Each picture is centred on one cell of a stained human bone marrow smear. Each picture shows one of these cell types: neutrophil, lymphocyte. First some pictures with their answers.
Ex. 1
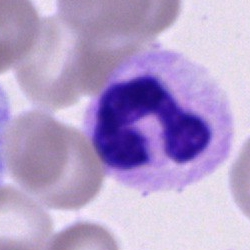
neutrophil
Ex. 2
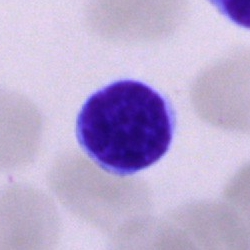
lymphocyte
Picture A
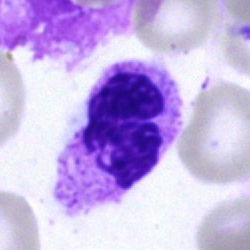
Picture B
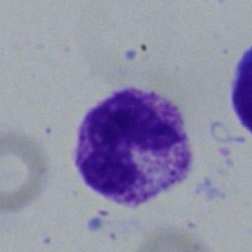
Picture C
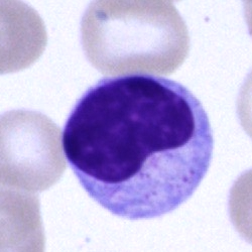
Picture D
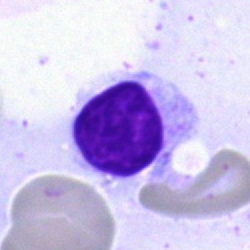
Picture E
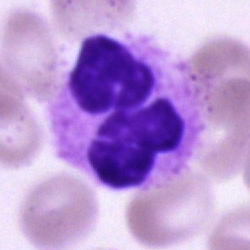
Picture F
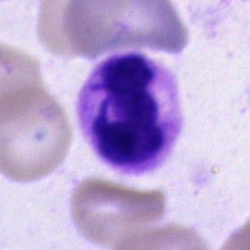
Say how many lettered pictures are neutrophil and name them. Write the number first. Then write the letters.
4, namely A, B, E, F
